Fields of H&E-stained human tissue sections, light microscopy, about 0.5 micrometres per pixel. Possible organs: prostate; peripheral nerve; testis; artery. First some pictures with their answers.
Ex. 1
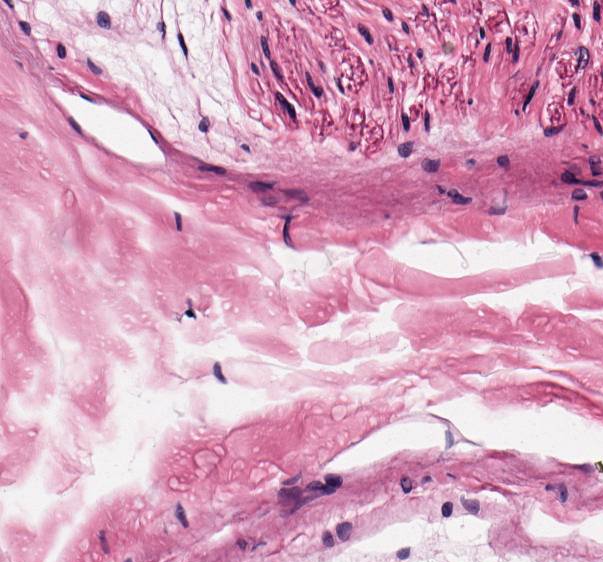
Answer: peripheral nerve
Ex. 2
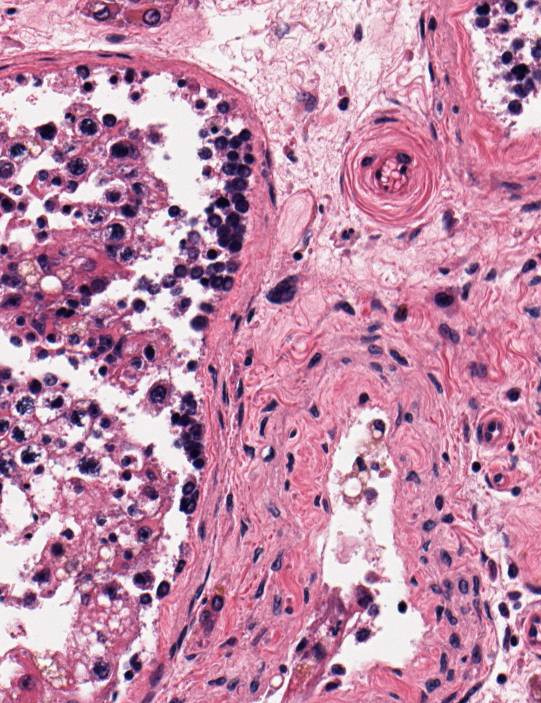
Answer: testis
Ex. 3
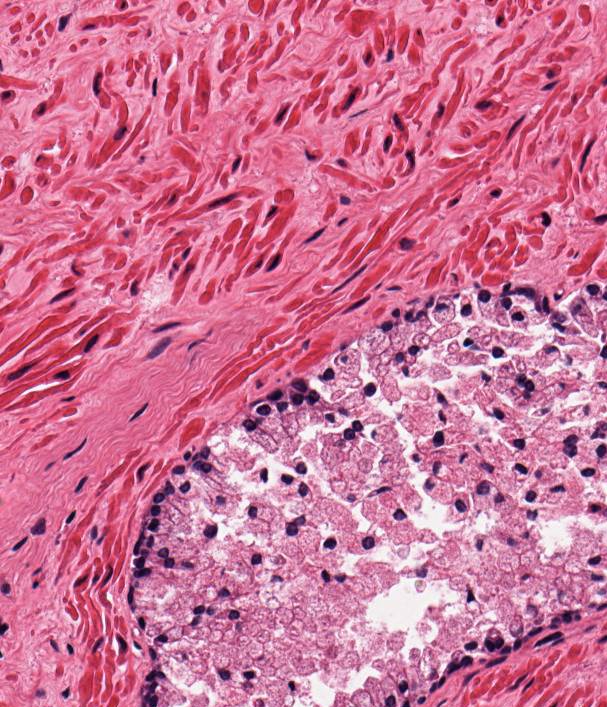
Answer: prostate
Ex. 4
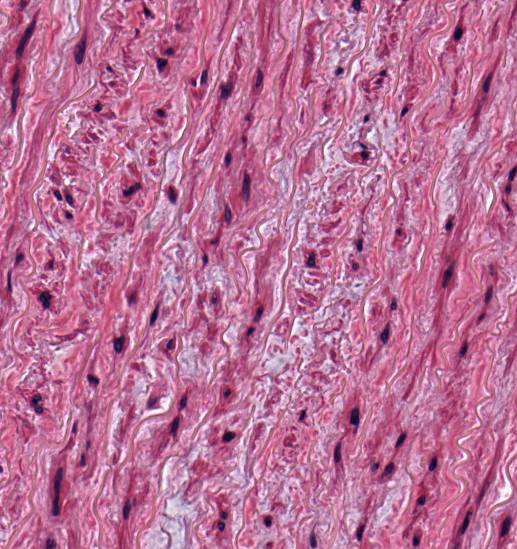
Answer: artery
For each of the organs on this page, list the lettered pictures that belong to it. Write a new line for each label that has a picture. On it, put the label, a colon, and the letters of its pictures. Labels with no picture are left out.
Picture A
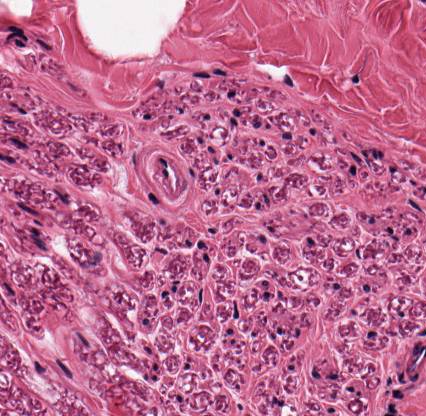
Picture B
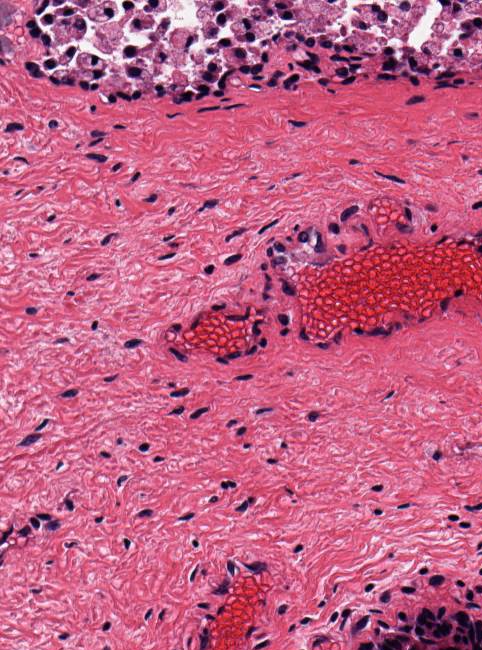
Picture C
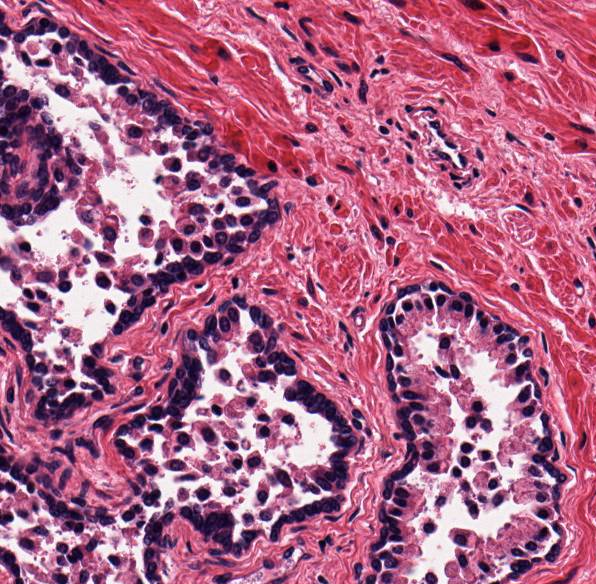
prostate: B, C
peripheral nerve: A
